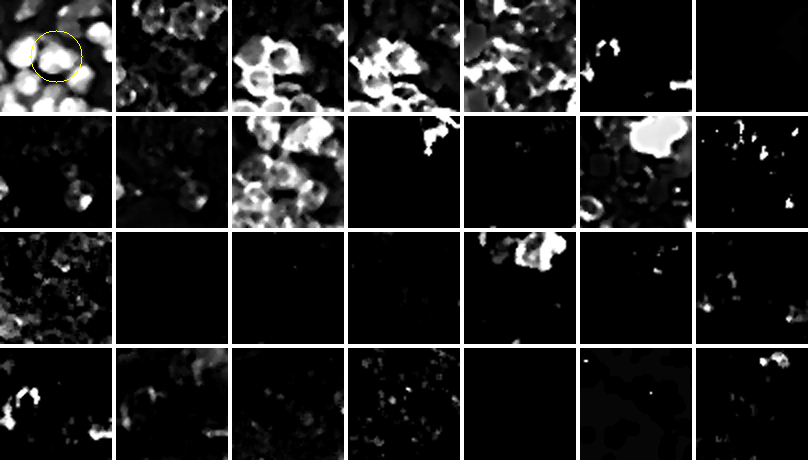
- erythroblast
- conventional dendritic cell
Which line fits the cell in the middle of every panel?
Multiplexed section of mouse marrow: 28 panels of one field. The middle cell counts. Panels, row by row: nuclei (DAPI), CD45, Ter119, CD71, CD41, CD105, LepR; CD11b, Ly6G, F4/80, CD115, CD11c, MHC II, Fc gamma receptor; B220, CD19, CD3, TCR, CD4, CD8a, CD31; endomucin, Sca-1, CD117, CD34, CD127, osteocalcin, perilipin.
erythroblast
